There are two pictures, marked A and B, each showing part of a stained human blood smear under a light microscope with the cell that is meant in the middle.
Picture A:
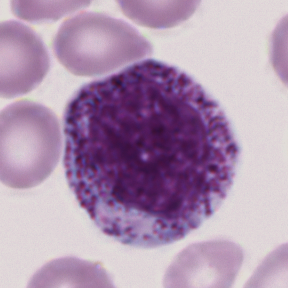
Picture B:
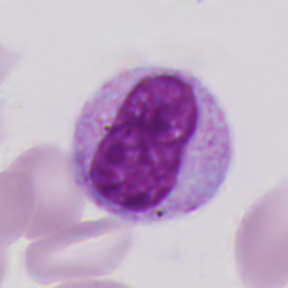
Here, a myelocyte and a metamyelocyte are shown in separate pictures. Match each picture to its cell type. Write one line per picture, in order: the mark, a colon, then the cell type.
A: myelocyte
B: metamyelocyte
